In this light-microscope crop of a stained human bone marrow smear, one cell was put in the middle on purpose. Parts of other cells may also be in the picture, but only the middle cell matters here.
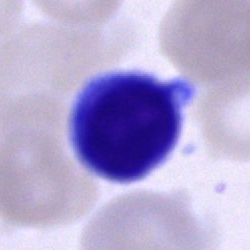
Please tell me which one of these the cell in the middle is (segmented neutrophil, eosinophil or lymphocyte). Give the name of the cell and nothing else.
lymphocyte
